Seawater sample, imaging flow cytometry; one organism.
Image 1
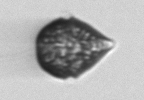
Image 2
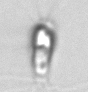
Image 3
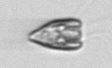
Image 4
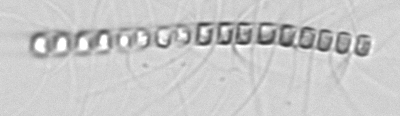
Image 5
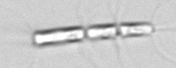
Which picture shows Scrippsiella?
Picture 1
